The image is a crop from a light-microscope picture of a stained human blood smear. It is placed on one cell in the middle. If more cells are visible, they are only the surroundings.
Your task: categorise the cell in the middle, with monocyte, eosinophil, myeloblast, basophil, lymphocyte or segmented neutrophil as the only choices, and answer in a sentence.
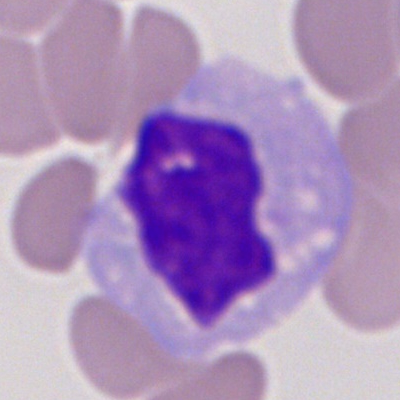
This crop is built around a monocyte at its centre.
